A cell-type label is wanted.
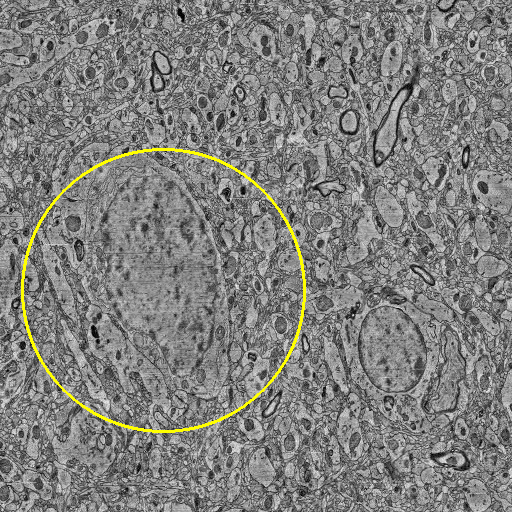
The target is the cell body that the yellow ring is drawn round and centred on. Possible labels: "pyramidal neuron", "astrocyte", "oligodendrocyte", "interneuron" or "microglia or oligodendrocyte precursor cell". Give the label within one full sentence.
Of the labels offered, the cell in the middle of the yellow ring is an interneuron.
